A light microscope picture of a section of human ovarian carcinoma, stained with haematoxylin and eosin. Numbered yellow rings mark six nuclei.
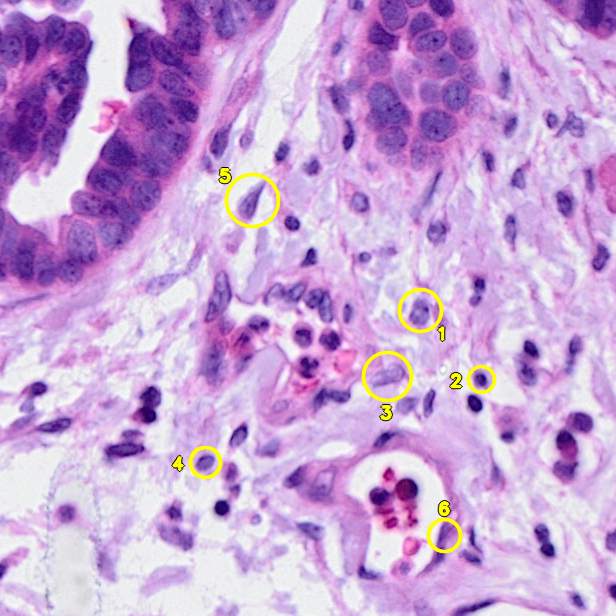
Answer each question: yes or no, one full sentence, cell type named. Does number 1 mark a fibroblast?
Yes, what number 1 marks is a fibroblast.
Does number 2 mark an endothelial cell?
No, for cell 2, the correct identification is a lymphocyte instead of an endothelial cell.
